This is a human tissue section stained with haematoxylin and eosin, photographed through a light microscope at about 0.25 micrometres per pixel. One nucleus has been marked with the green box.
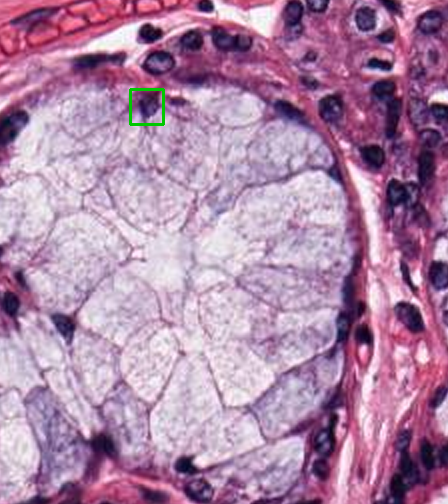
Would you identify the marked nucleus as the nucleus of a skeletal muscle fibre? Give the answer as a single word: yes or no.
no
